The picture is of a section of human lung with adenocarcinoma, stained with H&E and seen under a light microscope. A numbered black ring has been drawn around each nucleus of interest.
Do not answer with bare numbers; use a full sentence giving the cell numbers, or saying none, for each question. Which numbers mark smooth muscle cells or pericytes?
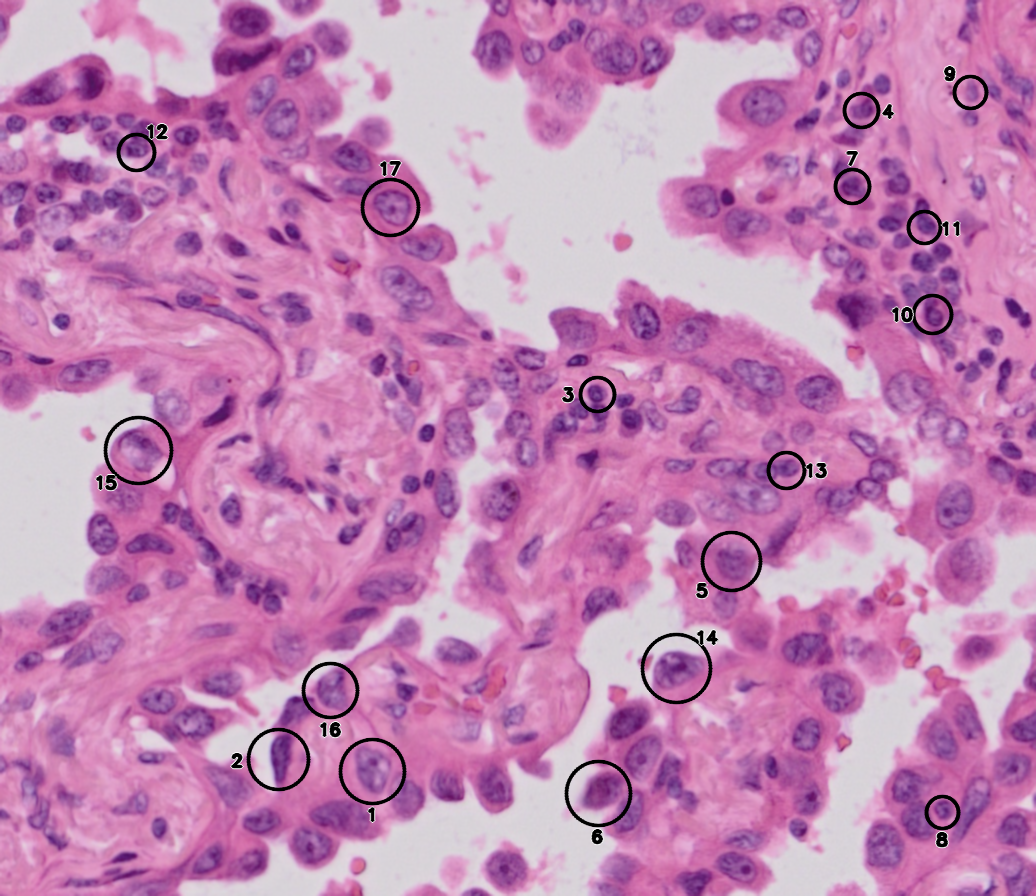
Only the cell numbered 9 is a smooth muscle cell or pericyte, and the others are something else.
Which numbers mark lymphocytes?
The numbers 3, 8, 11, 12 and 13 refer to cells that are lymphocytes.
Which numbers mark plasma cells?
The cells numbered 4, 7 and 10 fall into the category of plasma cells.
